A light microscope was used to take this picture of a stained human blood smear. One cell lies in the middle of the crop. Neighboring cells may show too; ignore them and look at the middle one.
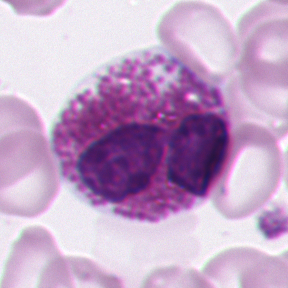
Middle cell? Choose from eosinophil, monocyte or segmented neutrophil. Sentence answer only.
The middle cell in this particular crop is an eosinophil.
